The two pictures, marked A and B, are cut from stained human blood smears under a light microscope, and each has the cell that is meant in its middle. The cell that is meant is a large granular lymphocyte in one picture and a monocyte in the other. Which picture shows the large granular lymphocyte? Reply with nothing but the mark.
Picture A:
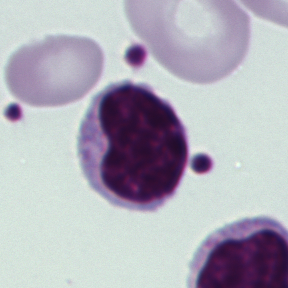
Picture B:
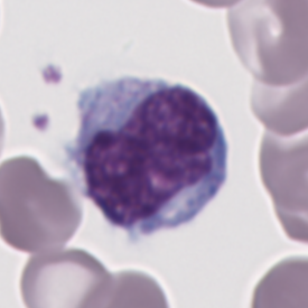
A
